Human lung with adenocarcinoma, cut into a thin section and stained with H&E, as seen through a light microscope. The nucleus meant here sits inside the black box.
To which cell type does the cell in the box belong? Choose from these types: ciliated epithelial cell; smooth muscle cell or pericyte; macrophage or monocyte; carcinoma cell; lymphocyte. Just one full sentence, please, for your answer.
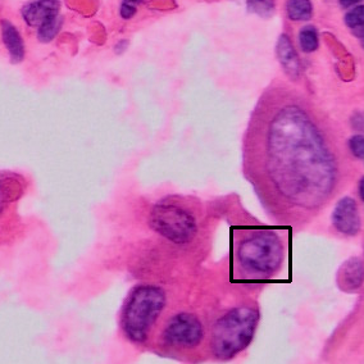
Considered by cell type, the cell in the box is a carcinoma cell.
